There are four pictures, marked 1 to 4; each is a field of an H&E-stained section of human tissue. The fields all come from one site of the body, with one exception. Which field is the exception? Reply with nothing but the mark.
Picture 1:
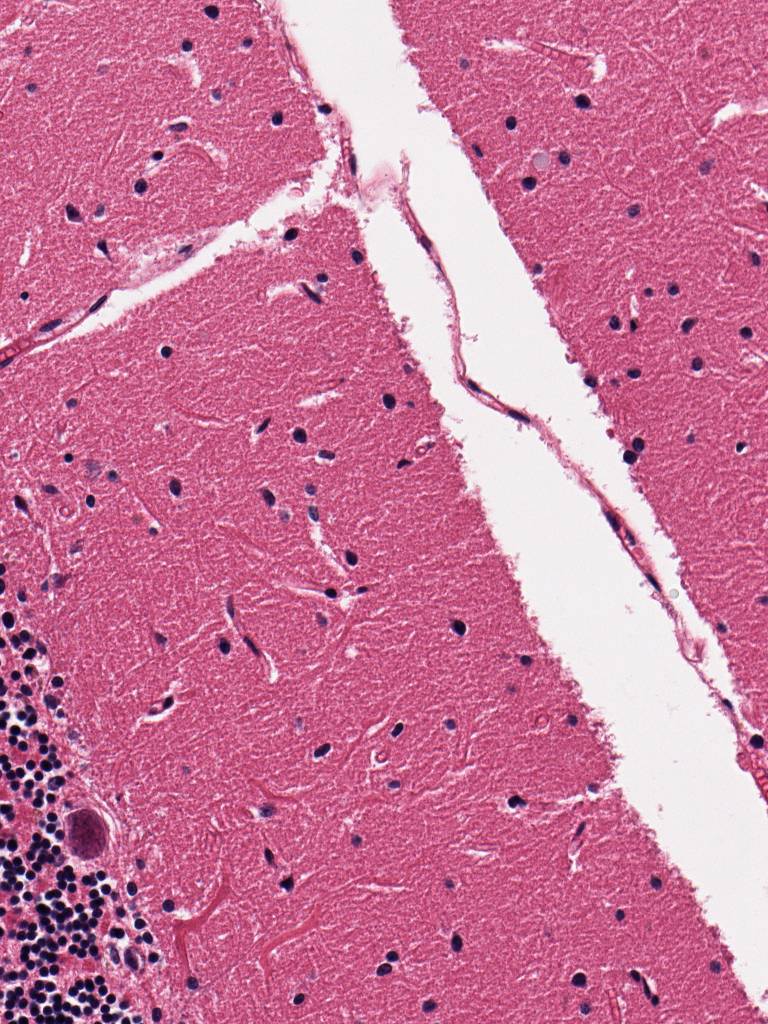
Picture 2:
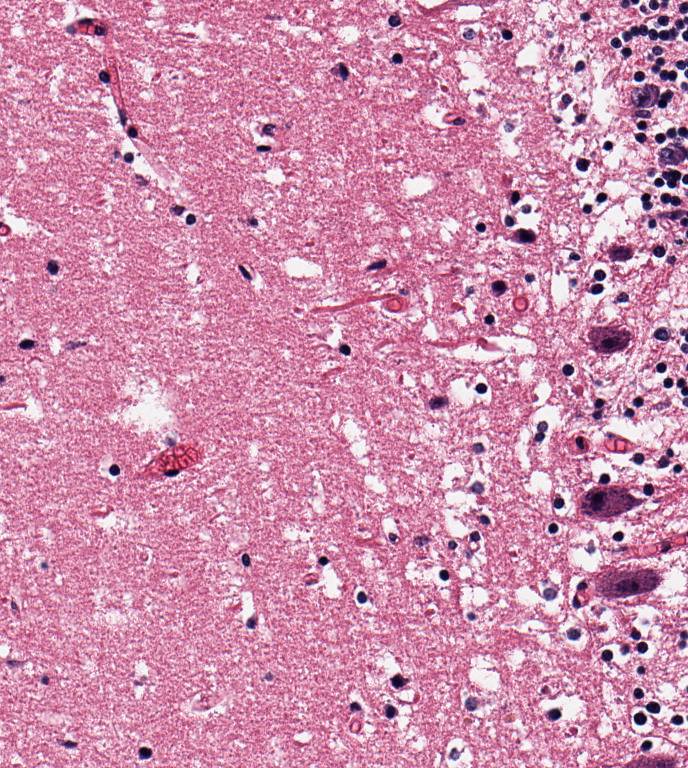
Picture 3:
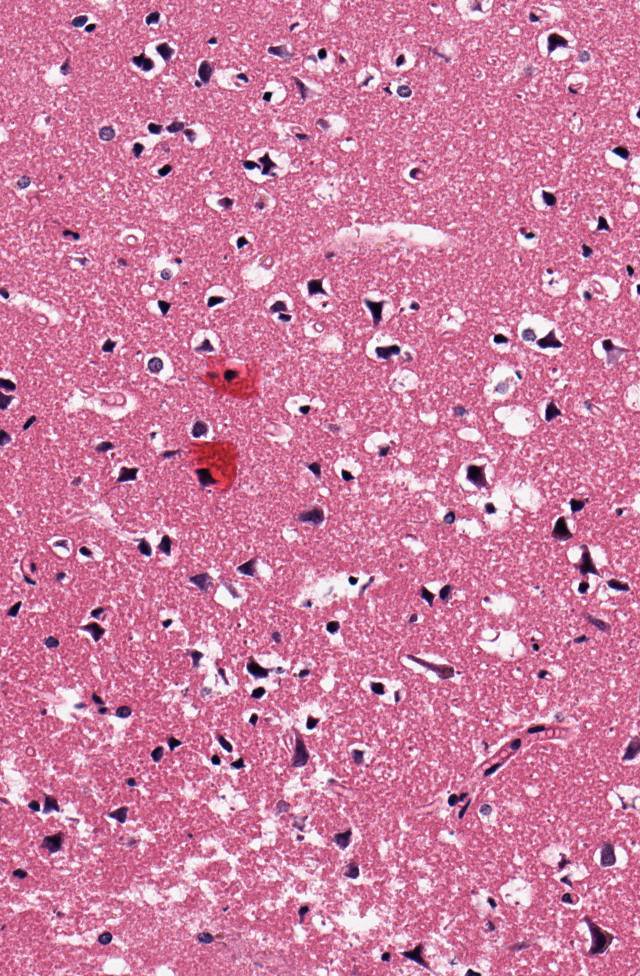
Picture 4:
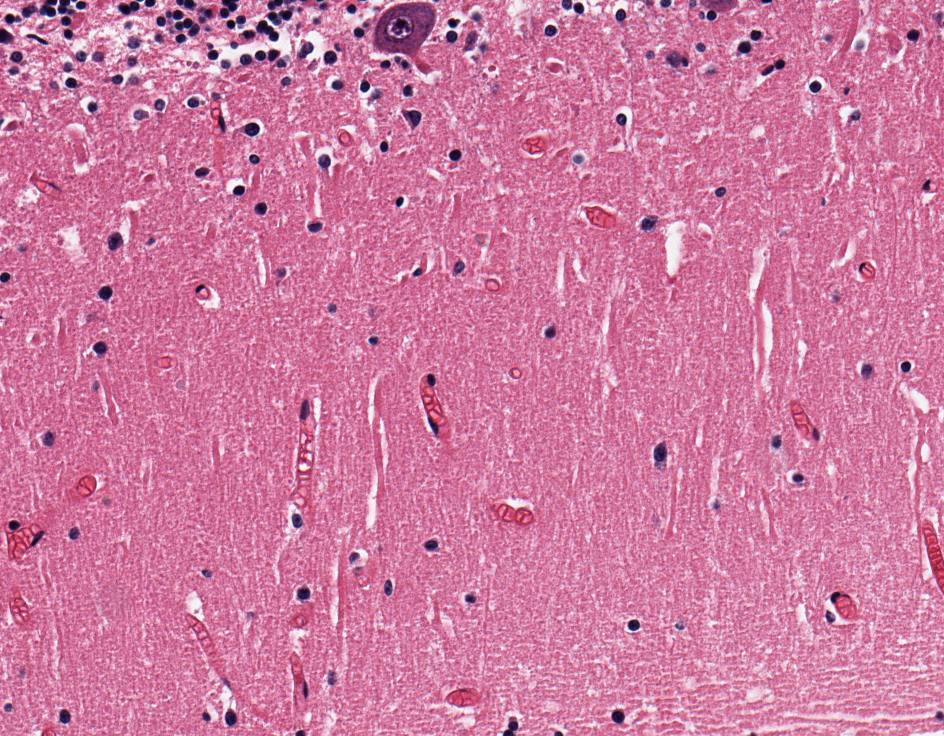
3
